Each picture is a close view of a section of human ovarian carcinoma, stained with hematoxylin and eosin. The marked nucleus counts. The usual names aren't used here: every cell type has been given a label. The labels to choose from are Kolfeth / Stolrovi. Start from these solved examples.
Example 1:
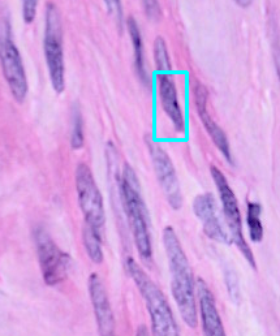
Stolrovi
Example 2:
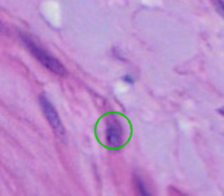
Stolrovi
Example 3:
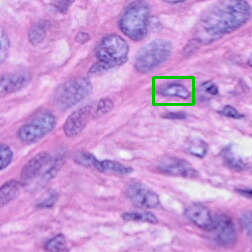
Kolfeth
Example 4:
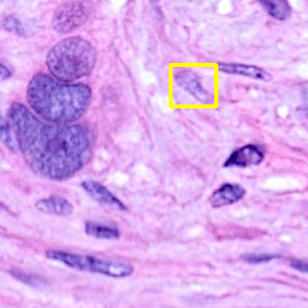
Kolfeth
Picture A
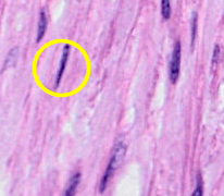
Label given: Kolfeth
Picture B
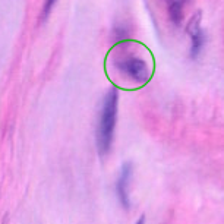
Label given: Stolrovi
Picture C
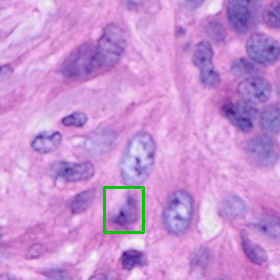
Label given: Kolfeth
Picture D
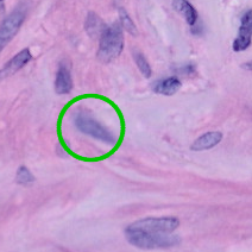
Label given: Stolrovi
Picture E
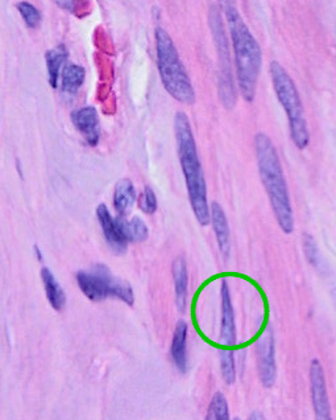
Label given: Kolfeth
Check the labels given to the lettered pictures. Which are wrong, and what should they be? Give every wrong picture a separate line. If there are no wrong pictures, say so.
E: not Kolfeth but Stolrovi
